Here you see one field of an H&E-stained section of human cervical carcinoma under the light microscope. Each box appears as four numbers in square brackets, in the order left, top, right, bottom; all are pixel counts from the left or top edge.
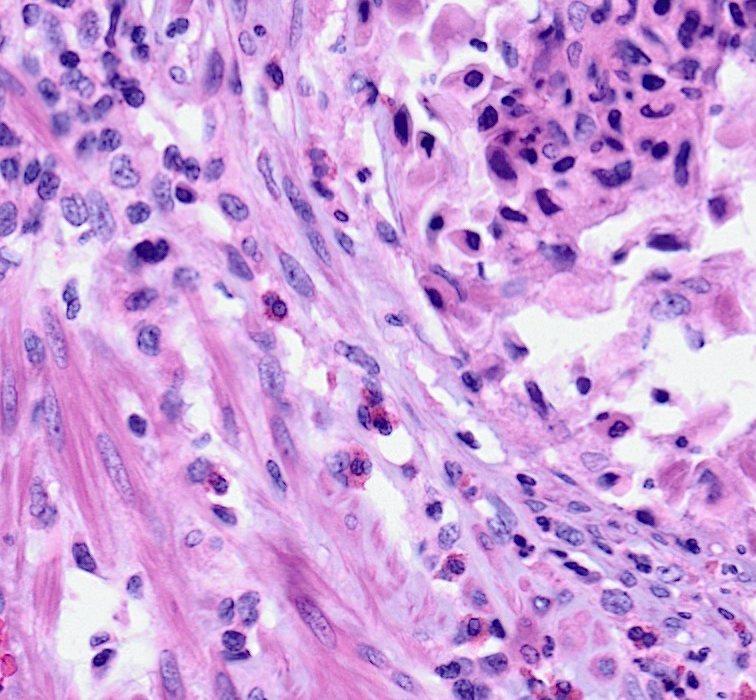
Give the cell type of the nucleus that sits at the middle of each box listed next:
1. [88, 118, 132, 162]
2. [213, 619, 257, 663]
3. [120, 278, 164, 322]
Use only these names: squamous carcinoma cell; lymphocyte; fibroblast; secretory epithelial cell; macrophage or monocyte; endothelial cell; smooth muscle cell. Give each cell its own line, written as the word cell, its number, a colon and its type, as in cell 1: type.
cell 1: lymphocyte
cell 2: lymphocyte
cell 3: macrophage or monocyte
